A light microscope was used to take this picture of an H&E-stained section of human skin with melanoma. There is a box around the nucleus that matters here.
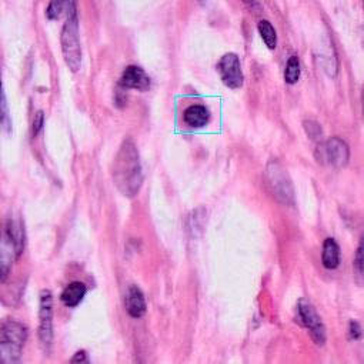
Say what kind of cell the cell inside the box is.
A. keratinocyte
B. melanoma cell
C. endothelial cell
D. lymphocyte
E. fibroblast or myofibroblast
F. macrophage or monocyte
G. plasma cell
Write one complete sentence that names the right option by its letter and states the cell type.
Identified correctly by option G, the cell inside the box is a plasma cell.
